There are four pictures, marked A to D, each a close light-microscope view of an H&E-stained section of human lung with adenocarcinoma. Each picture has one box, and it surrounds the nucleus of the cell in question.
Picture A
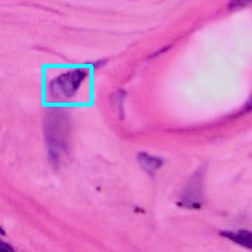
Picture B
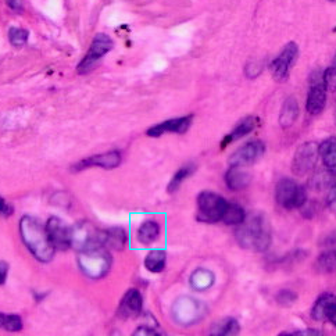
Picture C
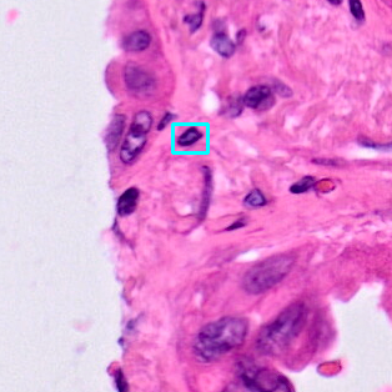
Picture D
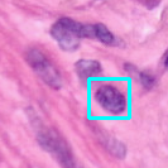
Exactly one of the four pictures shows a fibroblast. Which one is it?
A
